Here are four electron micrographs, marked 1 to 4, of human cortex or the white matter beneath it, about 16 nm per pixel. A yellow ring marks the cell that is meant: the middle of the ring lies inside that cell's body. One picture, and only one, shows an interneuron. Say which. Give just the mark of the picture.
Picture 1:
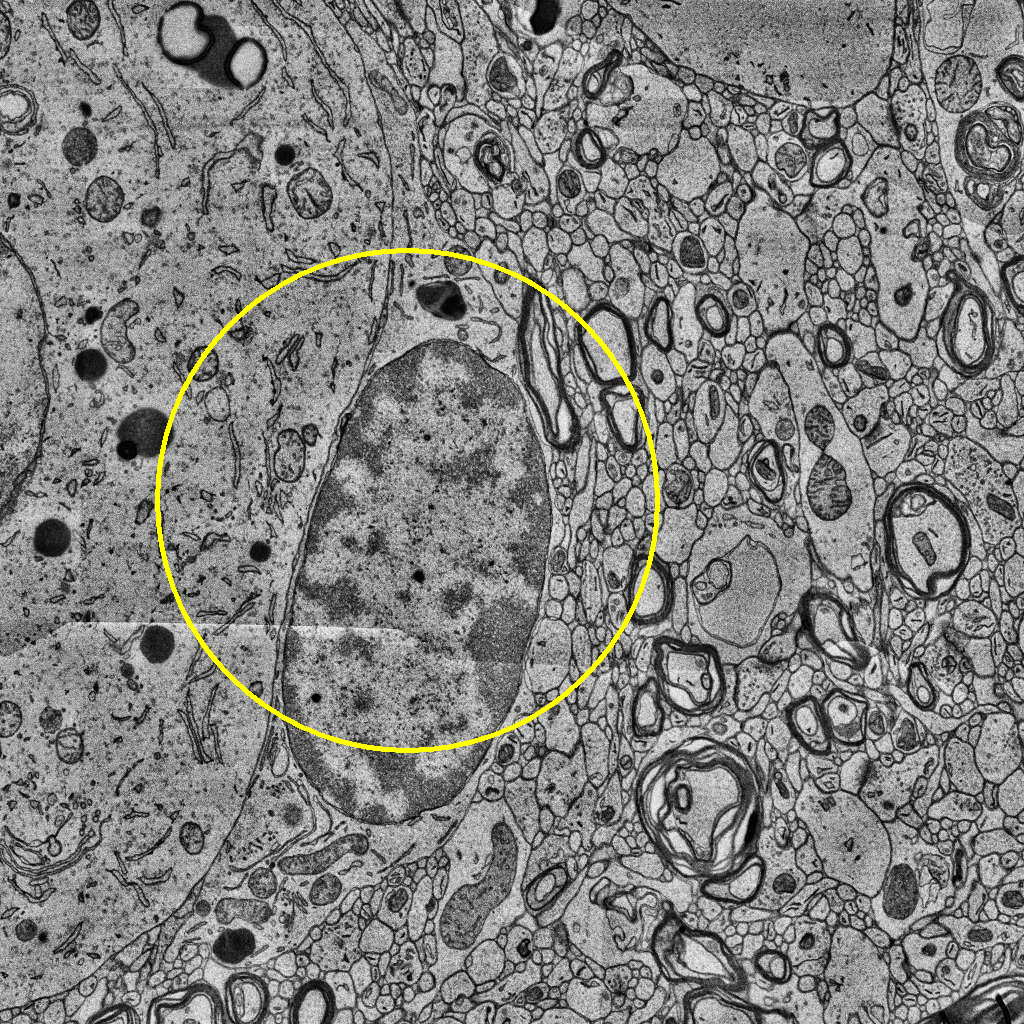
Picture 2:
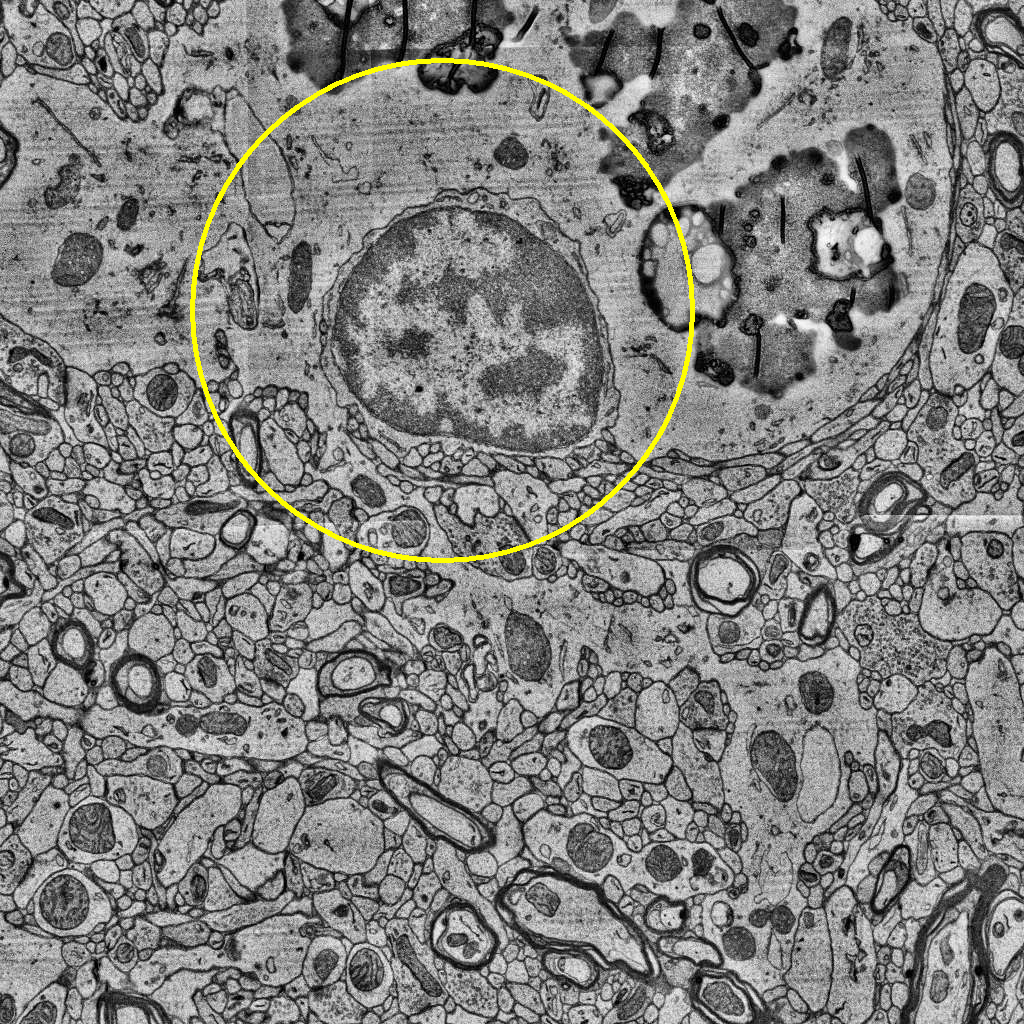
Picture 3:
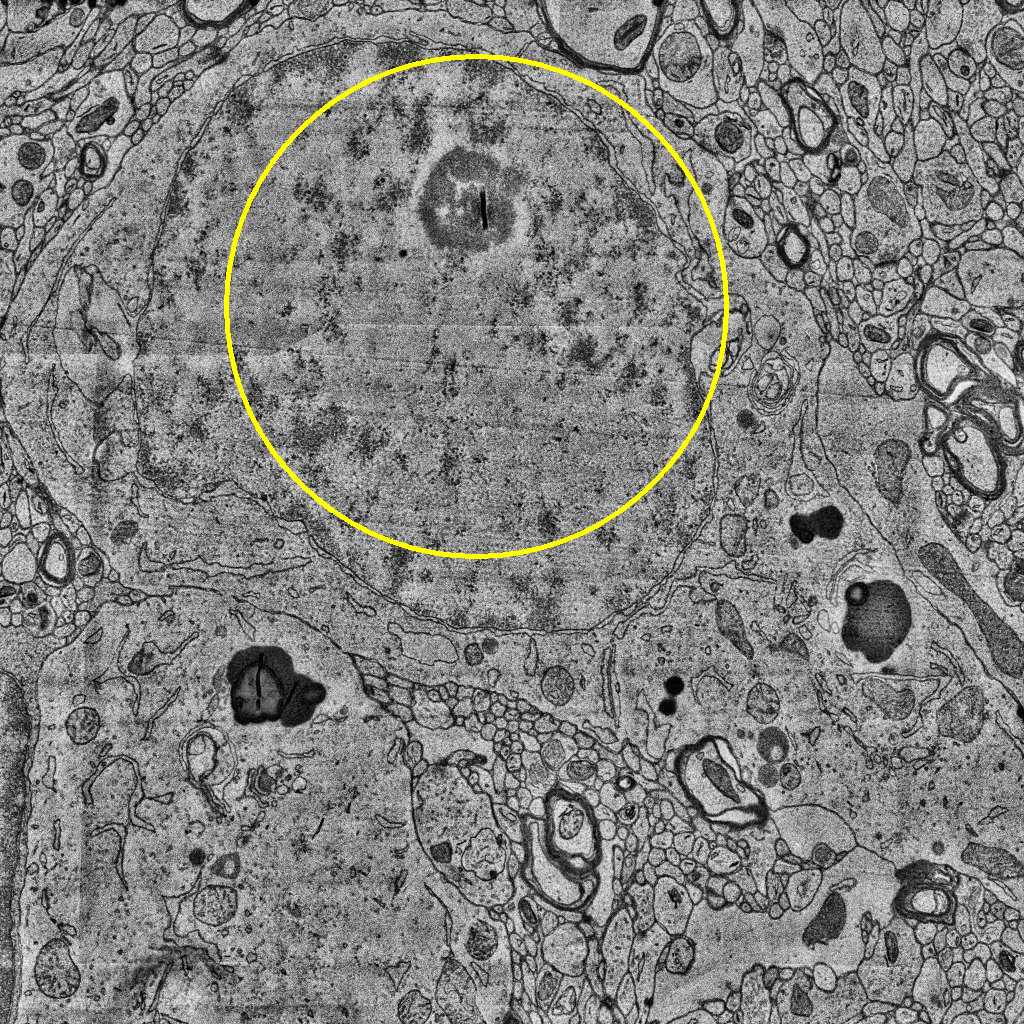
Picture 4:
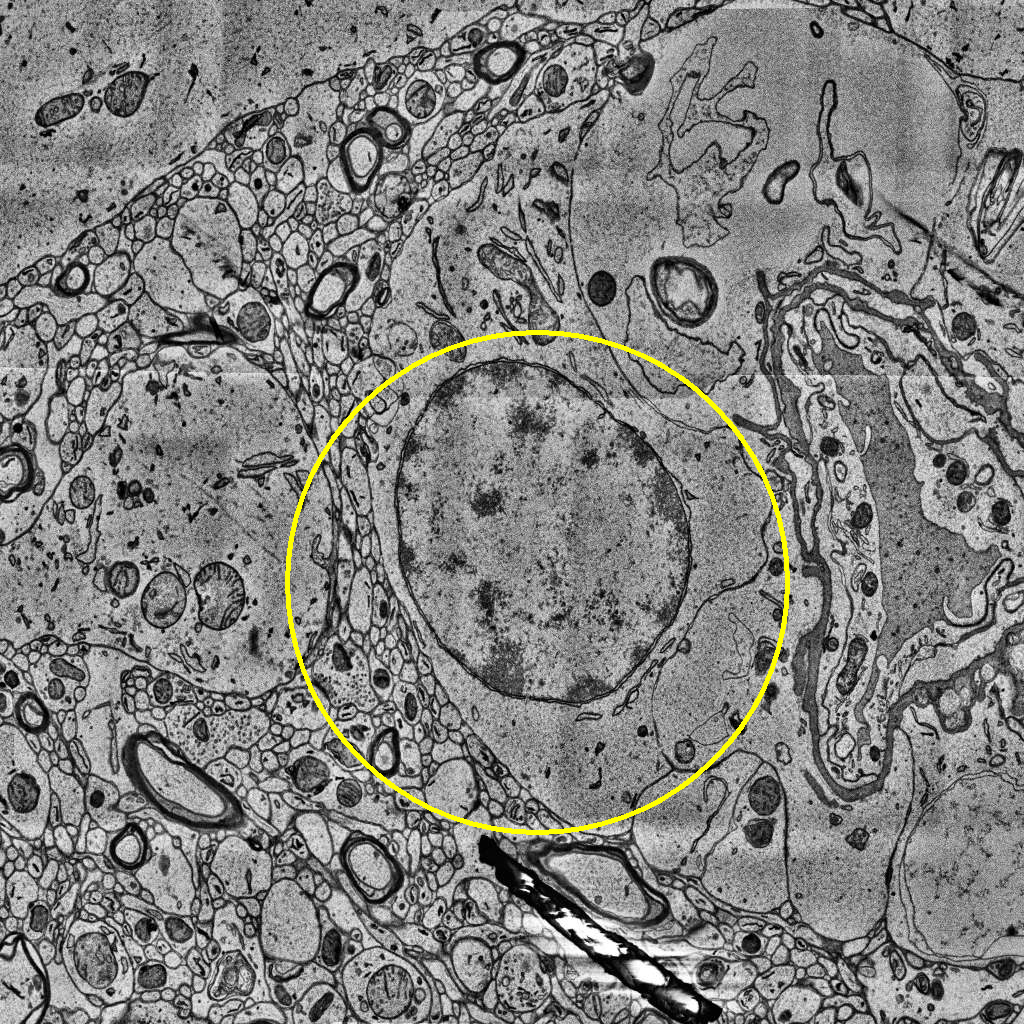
3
